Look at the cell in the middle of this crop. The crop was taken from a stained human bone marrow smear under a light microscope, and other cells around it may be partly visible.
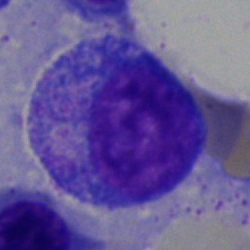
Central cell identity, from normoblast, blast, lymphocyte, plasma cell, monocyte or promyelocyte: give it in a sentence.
The cell in the middle of this crop is a promyelocyte.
